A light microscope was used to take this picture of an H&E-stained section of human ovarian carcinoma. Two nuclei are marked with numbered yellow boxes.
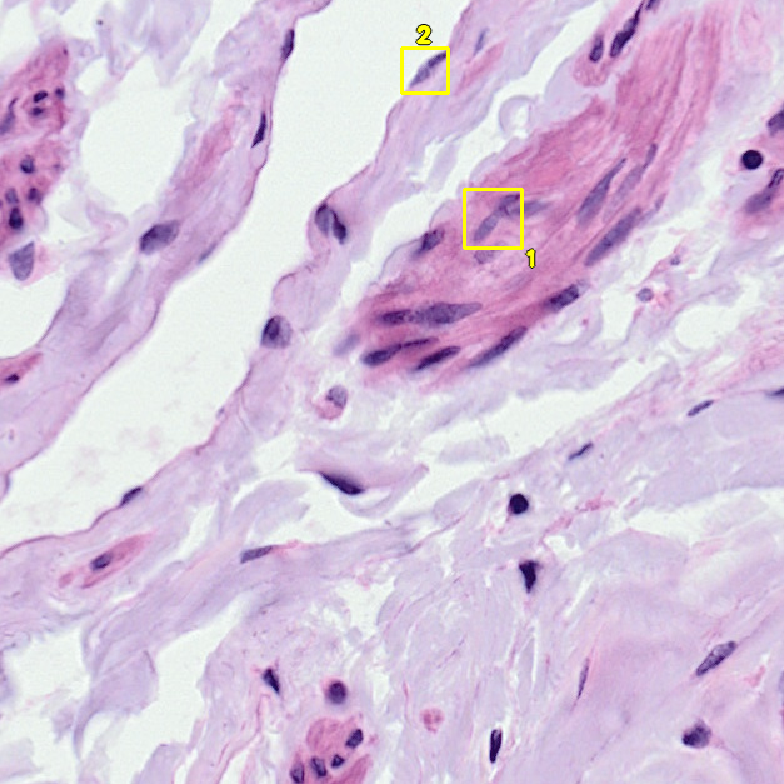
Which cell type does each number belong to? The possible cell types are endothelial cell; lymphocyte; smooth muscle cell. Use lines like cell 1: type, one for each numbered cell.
cell 1: smooth muscle cell
cell 2: endothelial cell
